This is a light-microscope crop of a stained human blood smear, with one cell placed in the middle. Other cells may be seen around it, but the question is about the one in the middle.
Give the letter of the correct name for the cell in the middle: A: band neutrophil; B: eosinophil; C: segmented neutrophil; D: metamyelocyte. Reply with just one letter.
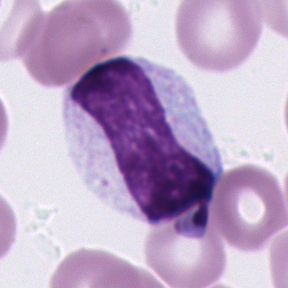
A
